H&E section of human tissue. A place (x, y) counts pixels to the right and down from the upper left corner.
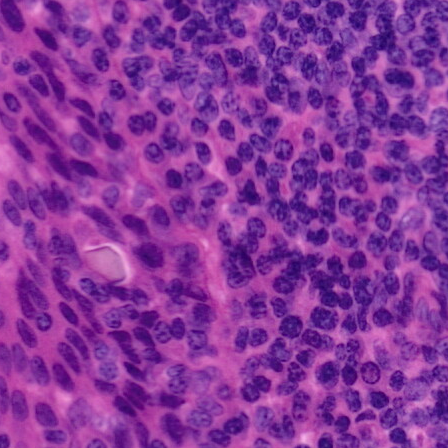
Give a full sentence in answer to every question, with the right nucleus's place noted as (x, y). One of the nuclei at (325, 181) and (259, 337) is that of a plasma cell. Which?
The nucleus lying at (259, 337) is the nucleus of a plasma cell.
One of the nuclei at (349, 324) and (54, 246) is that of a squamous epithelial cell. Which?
That would be the nucleus at (54, 246); it belongs to a squamous epithelial cell.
